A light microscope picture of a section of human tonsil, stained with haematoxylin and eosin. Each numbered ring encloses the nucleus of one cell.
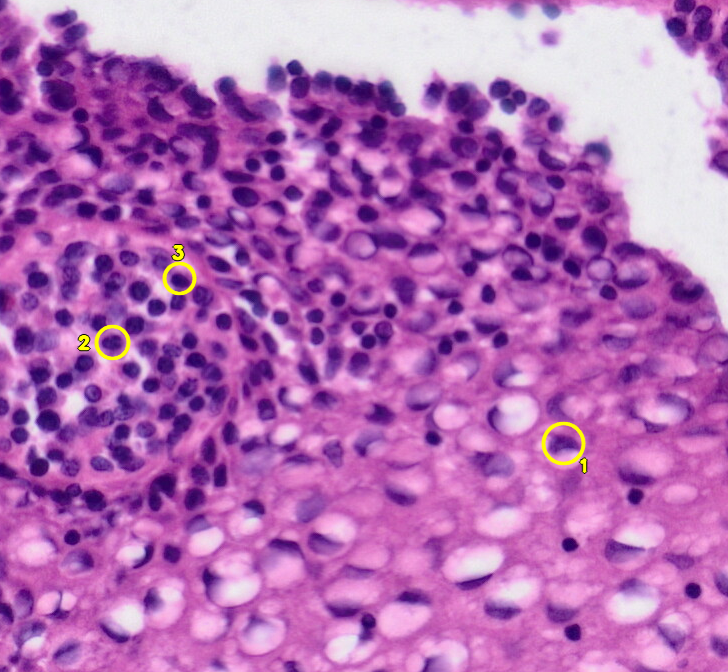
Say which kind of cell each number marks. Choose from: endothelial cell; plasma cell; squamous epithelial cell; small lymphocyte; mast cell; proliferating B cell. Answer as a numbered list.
1. squamous epithelial cell
2. plasma cell
3. plasma cell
